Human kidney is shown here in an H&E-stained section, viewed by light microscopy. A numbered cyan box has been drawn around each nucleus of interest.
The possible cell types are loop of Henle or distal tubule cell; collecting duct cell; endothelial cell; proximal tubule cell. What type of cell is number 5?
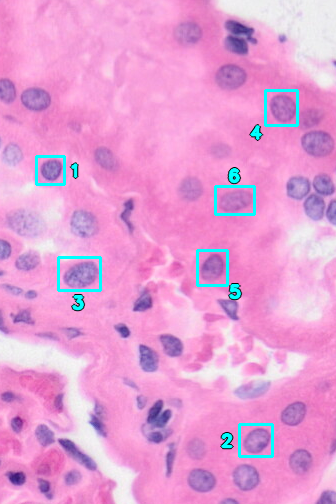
proximal tubule cell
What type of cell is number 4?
proximal tubule cell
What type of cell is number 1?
loop of Henle or distal tubule cell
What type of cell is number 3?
loop of Henle or distal tubule cell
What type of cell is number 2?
proximal tubule cell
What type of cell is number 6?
proximal tubule cell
